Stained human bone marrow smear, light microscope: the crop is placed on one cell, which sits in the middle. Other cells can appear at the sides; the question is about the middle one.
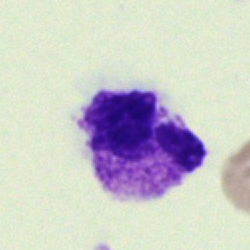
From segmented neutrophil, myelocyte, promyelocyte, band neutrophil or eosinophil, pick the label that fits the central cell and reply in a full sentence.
The central cell, amid any neighbouring cells, is a segmented neutrophil.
